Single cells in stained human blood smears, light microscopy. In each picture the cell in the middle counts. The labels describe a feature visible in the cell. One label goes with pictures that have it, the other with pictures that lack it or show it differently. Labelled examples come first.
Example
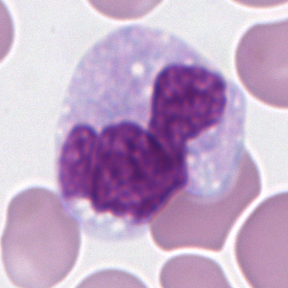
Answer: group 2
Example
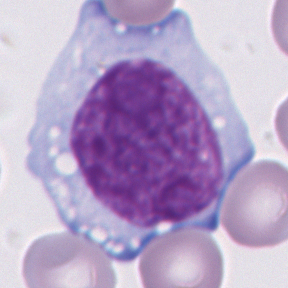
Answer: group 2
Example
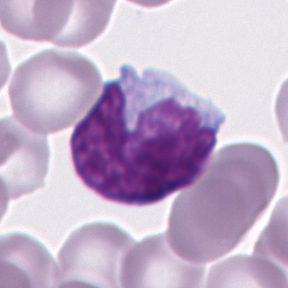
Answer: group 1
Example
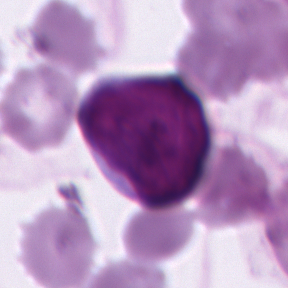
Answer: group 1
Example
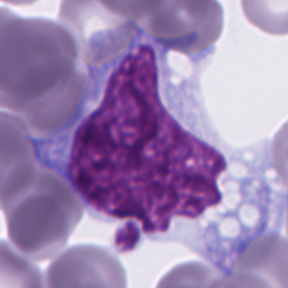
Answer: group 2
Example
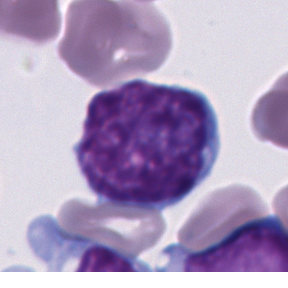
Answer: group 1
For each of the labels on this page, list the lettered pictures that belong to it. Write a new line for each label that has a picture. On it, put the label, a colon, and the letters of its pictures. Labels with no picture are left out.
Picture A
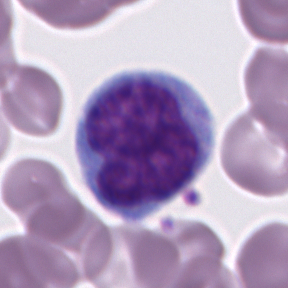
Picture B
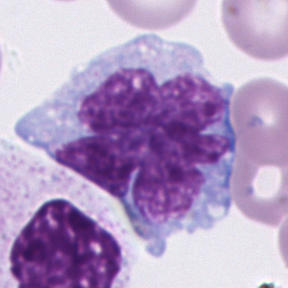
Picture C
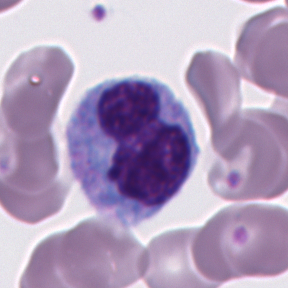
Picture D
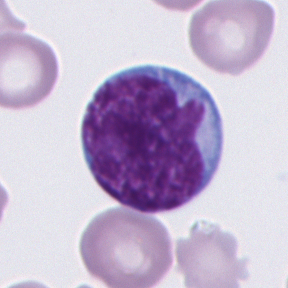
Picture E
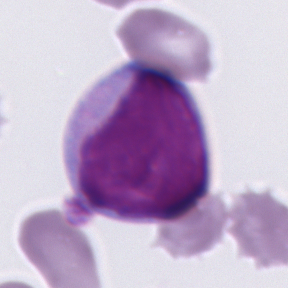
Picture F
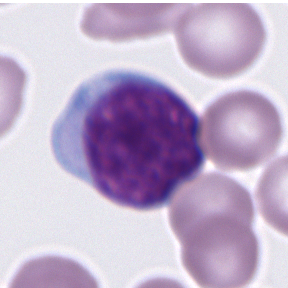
group 2: B
group 1: A, C, D, E, F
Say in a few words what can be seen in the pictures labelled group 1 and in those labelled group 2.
Seen in group 1: no vacuoles; seen in group 2: vacuoles present.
